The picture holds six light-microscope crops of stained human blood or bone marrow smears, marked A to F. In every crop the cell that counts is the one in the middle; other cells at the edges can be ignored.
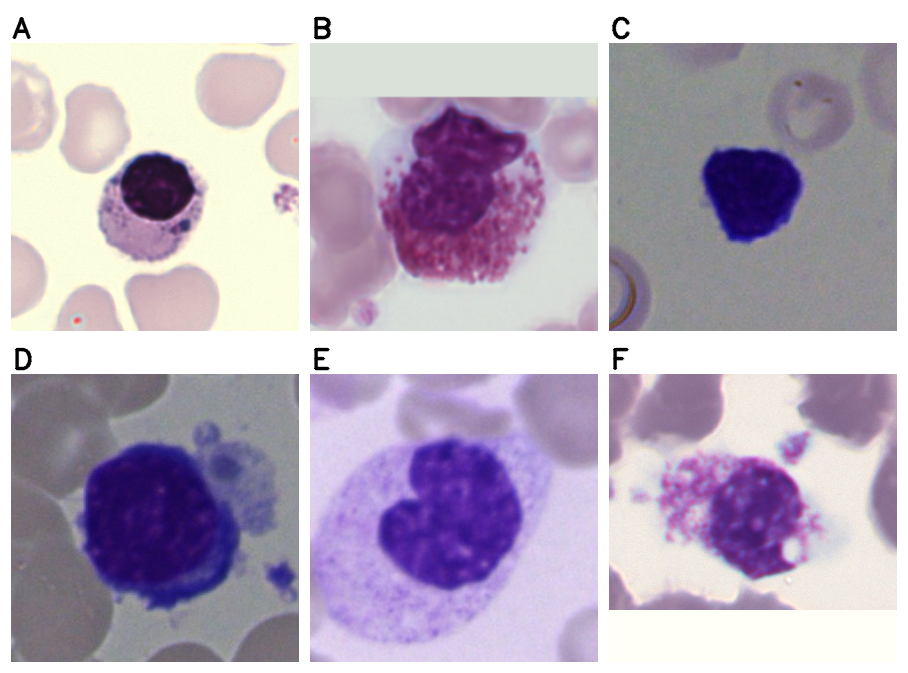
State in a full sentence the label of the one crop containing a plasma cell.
Crop D is the one to choose: it shows a plasma cell.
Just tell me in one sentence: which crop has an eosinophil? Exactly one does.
Within this set, crop B is the one with an eosinophil at its center.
